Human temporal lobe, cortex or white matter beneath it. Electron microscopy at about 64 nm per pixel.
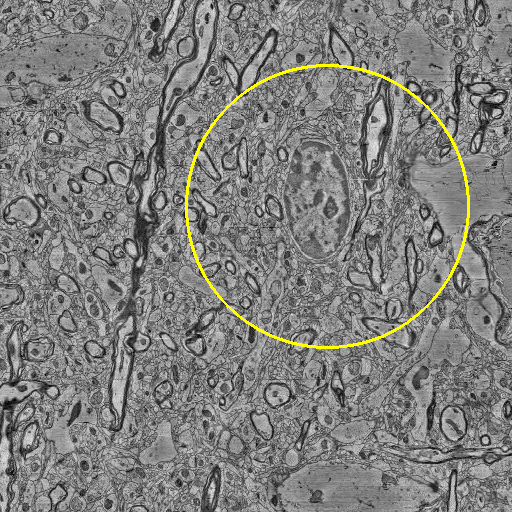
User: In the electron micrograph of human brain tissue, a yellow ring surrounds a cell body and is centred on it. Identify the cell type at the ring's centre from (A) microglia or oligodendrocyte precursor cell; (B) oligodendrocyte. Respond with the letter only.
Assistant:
A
